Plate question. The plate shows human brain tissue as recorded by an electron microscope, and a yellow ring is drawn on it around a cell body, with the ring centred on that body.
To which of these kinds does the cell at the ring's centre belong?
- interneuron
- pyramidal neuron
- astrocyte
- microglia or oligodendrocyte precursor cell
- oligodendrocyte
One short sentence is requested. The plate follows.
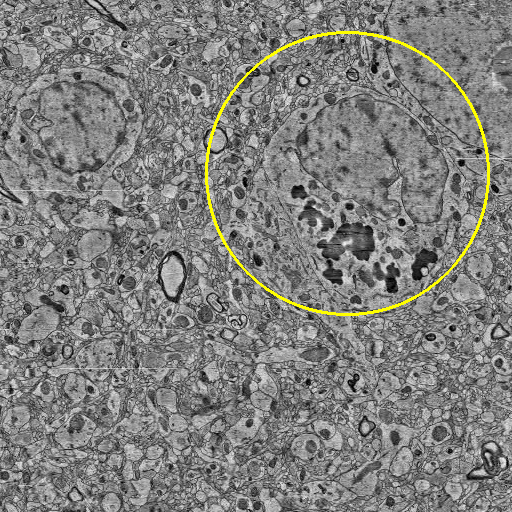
The cell at the ring's centre is an interneuron.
